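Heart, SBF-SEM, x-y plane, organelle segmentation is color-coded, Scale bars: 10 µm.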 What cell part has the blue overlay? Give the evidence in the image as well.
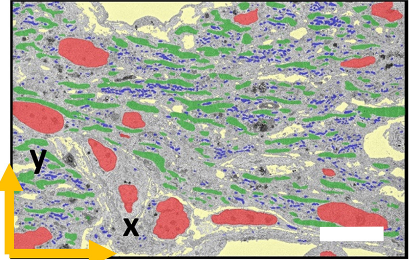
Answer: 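Blue regions are small, dense, rounded to short elongated bodies. Blue bodies lie in rows between the green bands. Blue bodies are far smaller than the red bodies. The answer: mitochondria.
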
